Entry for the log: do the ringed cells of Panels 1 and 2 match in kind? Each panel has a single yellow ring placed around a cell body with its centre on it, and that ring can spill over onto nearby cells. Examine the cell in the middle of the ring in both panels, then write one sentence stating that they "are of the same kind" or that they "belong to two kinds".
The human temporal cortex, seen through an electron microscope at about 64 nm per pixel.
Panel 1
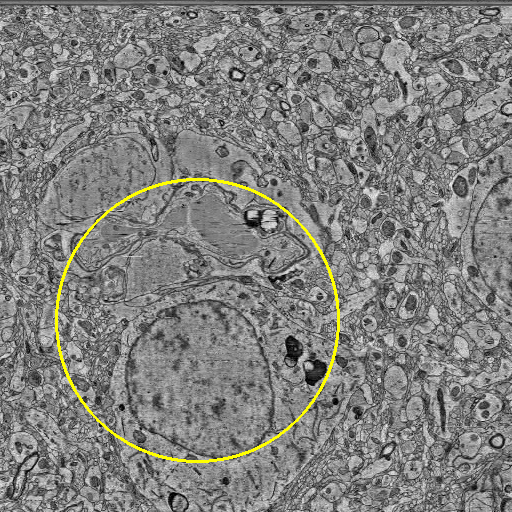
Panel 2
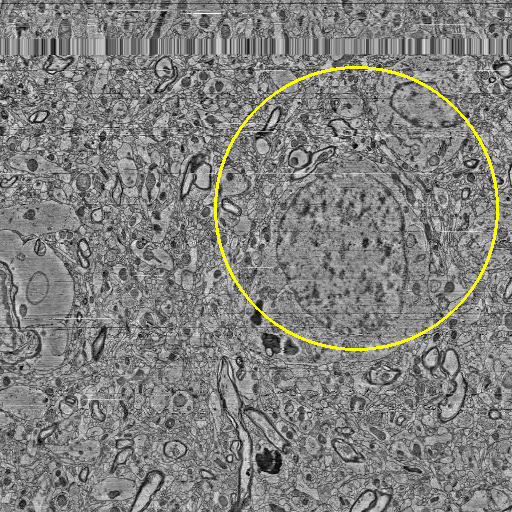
The centre cell of Panel 1's ring and that of Panel 2's ring belong to two kinds.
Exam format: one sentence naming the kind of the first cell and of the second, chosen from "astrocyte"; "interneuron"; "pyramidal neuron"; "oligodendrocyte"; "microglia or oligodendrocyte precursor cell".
The first picture's cell is a pyramidal neuron, and the second picture's cell is an interneuron.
